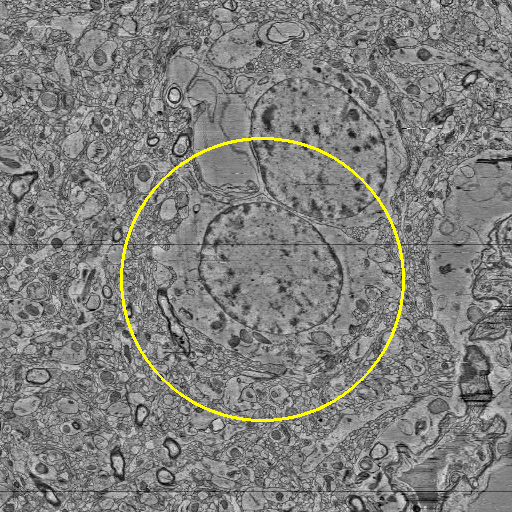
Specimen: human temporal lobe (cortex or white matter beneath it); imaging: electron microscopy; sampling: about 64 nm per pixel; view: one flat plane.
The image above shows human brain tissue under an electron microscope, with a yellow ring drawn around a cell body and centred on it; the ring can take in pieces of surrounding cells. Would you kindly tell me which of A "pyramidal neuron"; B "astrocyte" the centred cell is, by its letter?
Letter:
B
